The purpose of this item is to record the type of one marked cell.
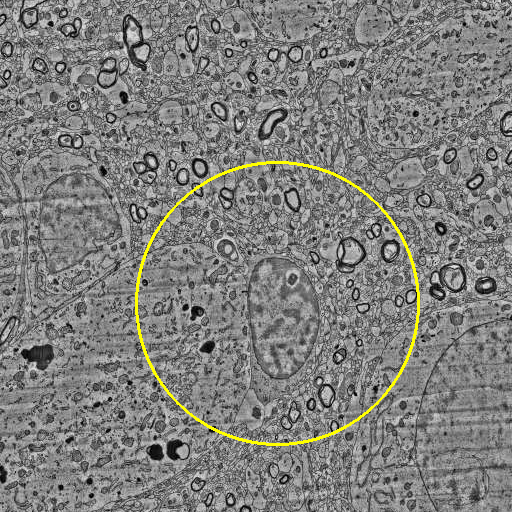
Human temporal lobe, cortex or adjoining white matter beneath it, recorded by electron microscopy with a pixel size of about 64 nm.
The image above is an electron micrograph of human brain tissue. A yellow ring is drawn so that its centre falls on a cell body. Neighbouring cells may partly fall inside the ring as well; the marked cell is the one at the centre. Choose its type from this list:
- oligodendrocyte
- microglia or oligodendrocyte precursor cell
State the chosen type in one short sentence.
What the ring marks here is an oligodendrocyte.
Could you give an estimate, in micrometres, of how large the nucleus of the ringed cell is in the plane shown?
In this plane the nucleus is clearly longer than it is wide: roughly 8 by 5 micrometres.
